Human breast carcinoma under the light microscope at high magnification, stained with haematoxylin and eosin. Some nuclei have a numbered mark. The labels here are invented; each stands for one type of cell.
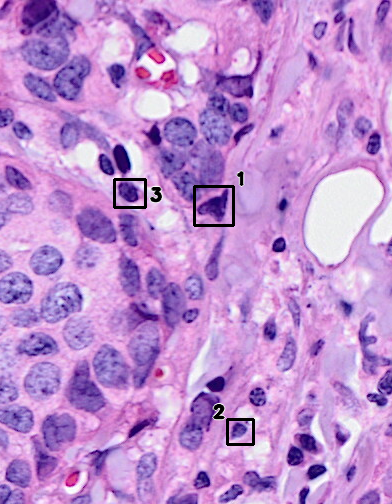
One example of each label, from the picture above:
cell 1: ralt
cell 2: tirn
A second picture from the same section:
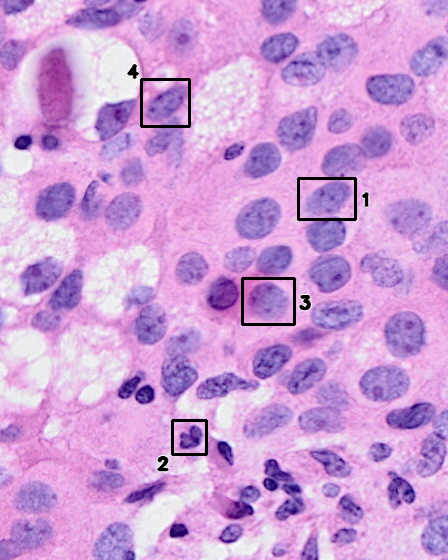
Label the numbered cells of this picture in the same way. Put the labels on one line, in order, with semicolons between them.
ralt; tirn; ralt; ralt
